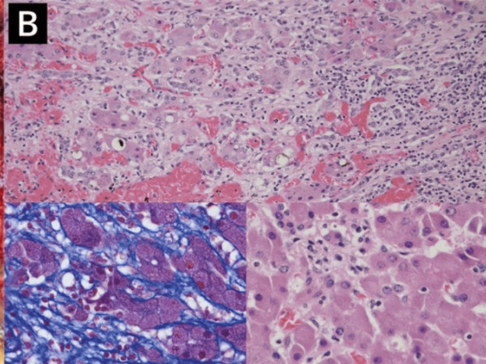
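Liver tissue with hepatocytes and an inflammatory infiltrate of lymphocytes. In the upper image the hepatocytes are large polygonal cells with pink cytoplasm and round nuclei. They lie in irregular, disorganised groups rather than orderly plates, and red-filled spaces run between them. At the right a dense band of small cells with dark round nuclei crowds in among the hepatocytes. In the lower left image blue-stained fibres wind between clusters of purple-red hepatocytes and split them into small nests. The lower right image shows hepatocytes at higher magnification, with scattered small dark lymphocytes lying among them.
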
